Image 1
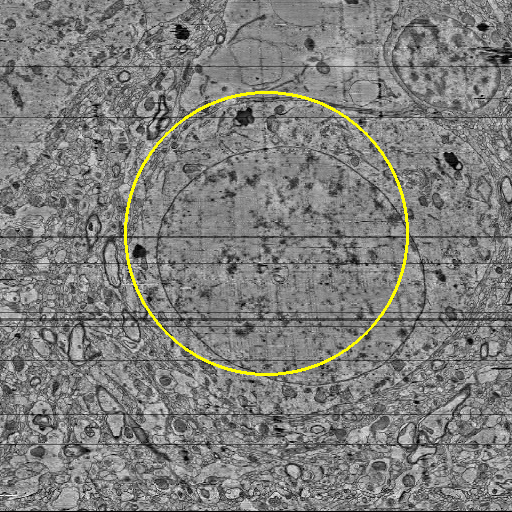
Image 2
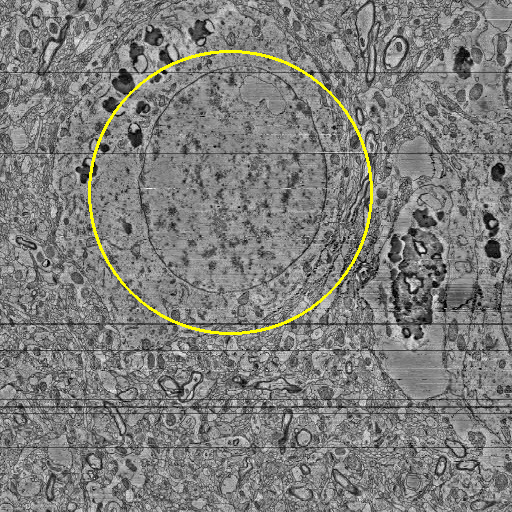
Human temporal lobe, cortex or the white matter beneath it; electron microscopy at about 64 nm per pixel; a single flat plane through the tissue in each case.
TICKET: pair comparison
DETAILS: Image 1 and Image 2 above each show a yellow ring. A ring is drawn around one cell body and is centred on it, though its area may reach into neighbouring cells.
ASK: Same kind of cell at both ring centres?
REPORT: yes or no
yes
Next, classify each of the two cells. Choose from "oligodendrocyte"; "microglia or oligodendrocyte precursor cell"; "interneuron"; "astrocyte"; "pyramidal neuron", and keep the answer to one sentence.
In each picture the ringed cell is a pyramidal neuron.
